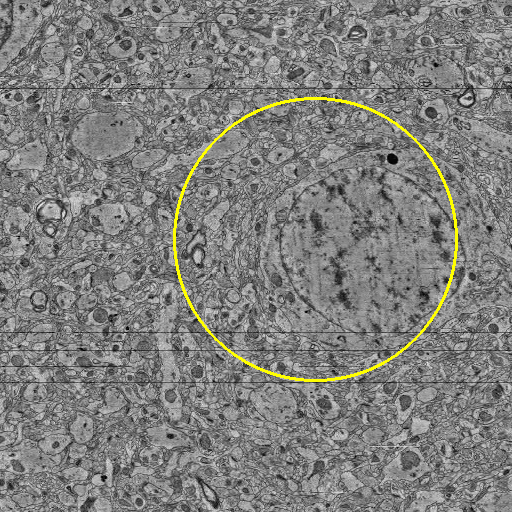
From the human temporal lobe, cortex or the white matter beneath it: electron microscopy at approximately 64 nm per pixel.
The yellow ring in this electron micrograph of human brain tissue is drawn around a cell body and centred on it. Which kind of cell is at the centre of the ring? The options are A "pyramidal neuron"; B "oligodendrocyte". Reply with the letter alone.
A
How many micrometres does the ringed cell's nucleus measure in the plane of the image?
Roughly 12 micrometers across, in this plane.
